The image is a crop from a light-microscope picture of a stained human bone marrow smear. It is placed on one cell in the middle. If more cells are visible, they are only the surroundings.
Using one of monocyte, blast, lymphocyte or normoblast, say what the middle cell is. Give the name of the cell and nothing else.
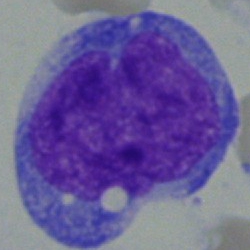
blast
